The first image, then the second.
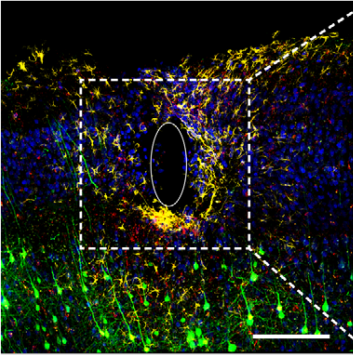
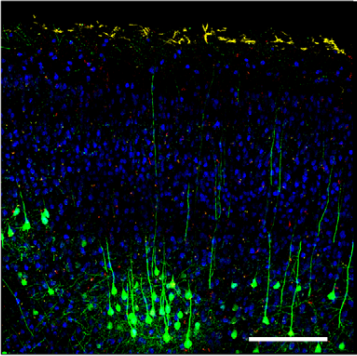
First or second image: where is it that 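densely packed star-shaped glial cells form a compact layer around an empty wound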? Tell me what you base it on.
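The first image. Second image: yellow is confined to a thin line at the top surface and no cavity is present. First image: bright yellow branched cells crowd around an oval region empty of nuclei.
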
